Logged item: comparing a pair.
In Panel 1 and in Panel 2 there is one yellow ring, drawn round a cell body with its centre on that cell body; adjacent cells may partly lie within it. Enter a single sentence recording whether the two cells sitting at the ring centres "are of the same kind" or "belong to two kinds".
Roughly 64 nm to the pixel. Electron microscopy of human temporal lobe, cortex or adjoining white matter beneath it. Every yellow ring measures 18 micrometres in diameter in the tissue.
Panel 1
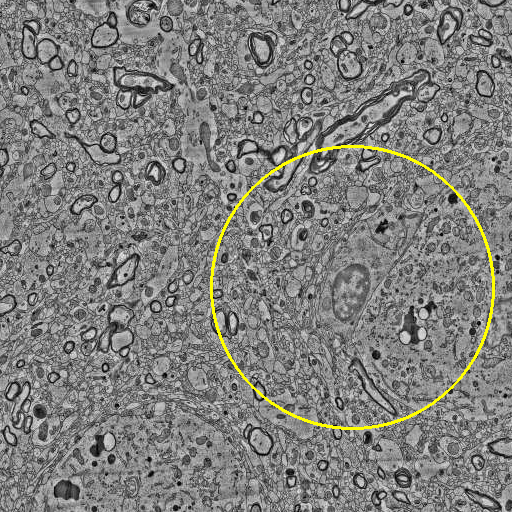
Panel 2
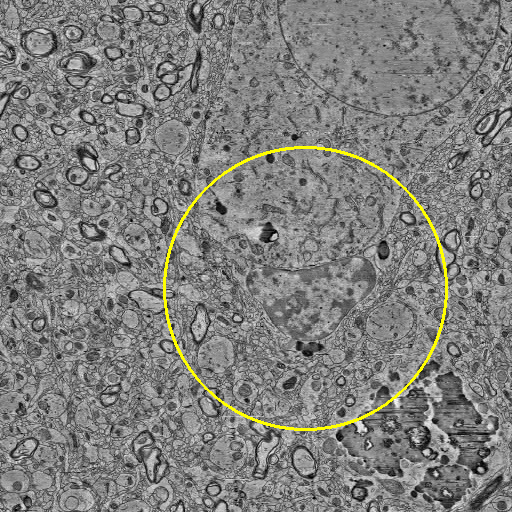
Logged: the cells centred in the rings of Panel 1 and Panel 2 belong to two kinds.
